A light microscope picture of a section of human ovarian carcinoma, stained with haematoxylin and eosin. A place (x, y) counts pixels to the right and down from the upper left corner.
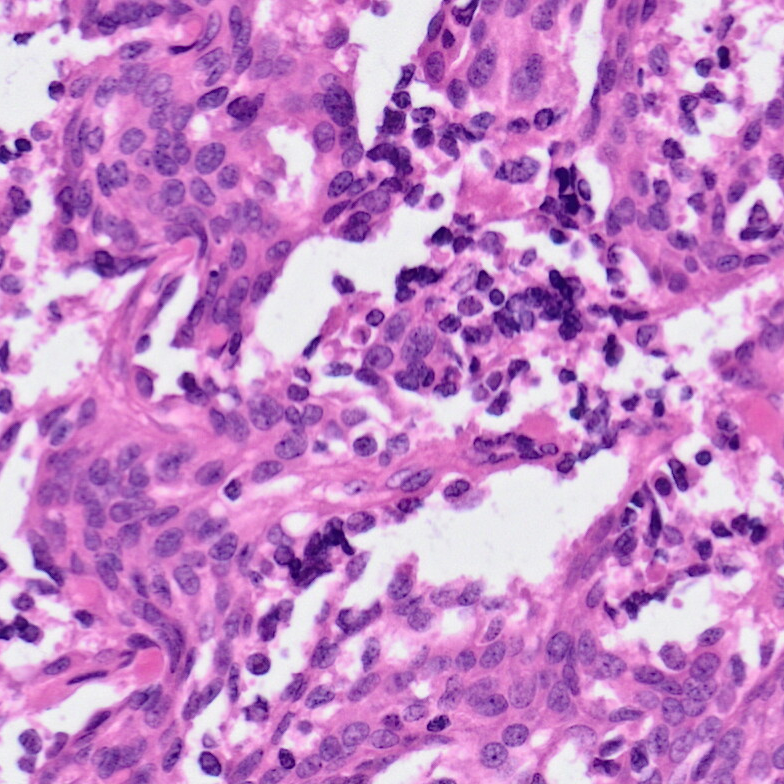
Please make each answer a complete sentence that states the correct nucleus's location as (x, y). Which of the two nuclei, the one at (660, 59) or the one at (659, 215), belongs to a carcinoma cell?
Of the two nuclei, that at (659, 215) is the nucleus of a carcinoma cell.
